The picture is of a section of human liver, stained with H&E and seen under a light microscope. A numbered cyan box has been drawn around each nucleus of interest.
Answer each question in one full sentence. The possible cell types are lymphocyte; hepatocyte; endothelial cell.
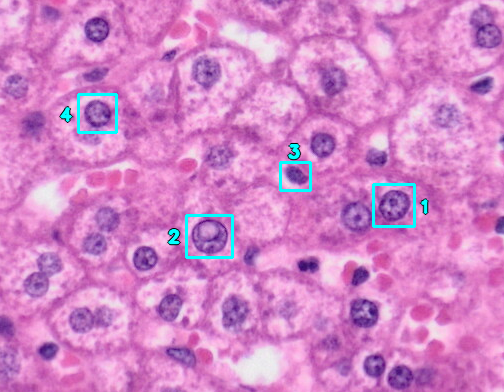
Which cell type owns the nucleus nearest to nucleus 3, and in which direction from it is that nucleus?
Lying above and to the right of nucleus 3, the nearest nucleus is that of a hepatocyte.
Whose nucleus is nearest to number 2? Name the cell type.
Closest to number 2 lies the nucleus of an endothelial cell.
